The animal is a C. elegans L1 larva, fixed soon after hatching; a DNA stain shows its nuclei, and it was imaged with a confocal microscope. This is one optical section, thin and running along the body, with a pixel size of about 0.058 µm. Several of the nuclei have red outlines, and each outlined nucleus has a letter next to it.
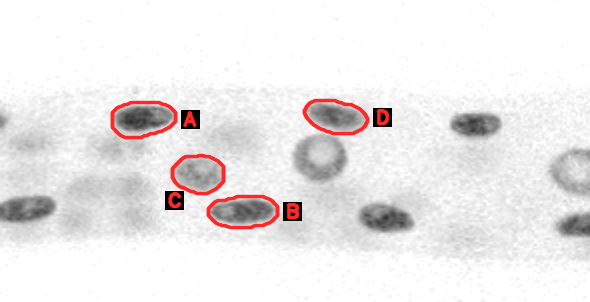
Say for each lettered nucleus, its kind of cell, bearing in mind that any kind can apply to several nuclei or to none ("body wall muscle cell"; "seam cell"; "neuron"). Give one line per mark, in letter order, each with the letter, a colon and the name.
A: body wall muscle cell
B: body wall muscle cell
C: seam cell
D: body wall muscle cell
